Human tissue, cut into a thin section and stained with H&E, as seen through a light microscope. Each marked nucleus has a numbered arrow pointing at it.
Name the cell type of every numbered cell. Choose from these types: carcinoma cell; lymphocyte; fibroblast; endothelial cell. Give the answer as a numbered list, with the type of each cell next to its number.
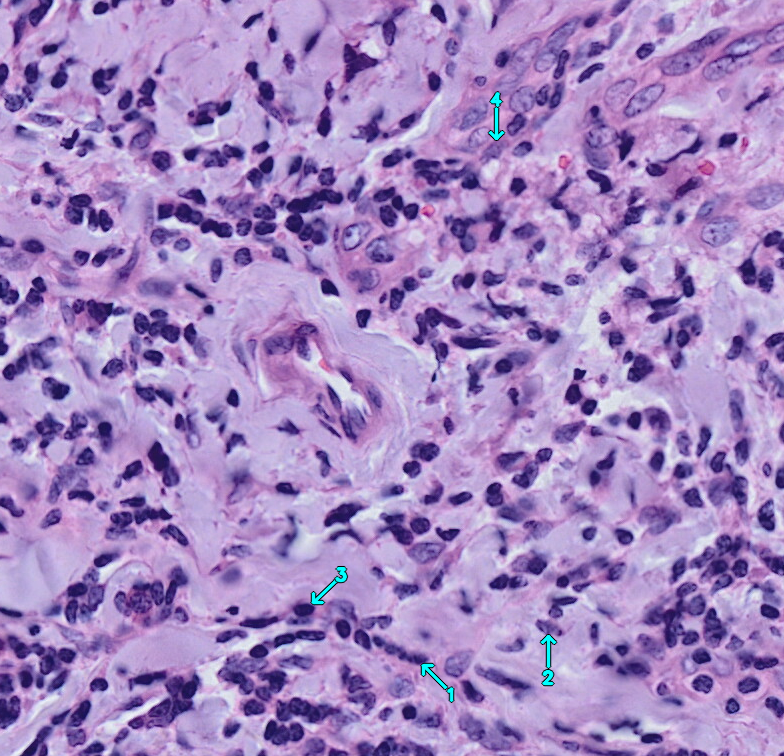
1. lymphocyte
2. lymphocyte
3. lymphocyte
4. endothelial cell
